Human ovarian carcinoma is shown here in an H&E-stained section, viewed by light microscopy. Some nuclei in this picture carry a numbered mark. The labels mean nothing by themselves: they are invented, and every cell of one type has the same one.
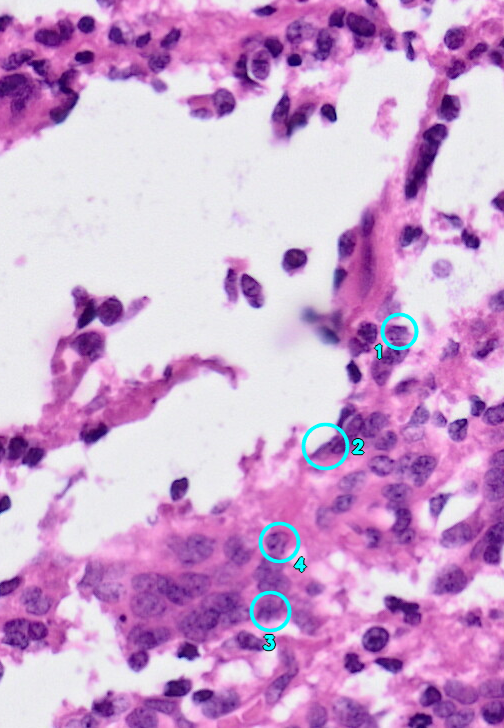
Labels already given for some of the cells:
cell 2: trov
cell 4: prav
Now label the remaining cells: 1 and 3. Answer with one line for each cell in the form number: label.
1: trov
3: trov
